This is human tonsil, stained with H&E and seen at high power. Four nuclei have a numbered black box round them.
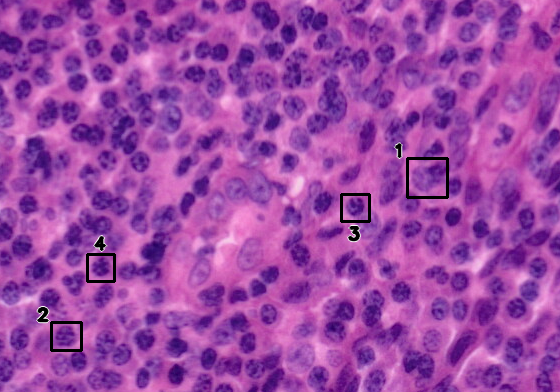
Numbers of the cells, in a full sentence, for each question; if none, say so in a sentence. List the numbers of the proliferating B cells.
It is true of every numbered cell that it is not one of the proliferating B cells.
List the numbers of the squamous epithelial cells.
Only cell 1 is a squamous epithelial cell; none of the other numbered cells is.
